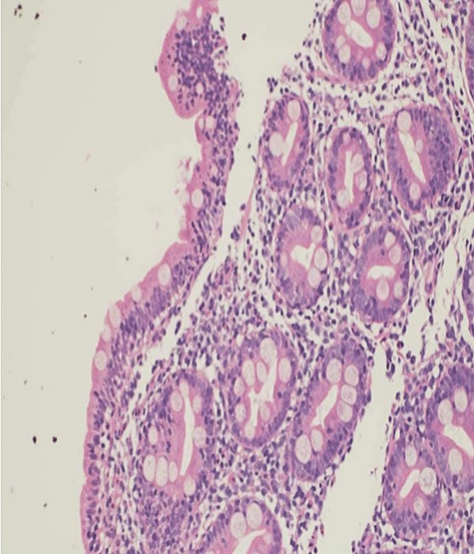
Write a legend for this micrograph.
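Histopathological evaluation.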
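Intestinal mucosa with crypts cut in cross-section, lined by columnar epithelium with many pale goblet cells and basally placed nuclei. The lamina propria between the crypts is densely packed with small round inflammatory cells with dark nuclei. The surface epithelium at the left runs flat, with no villi in view.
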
